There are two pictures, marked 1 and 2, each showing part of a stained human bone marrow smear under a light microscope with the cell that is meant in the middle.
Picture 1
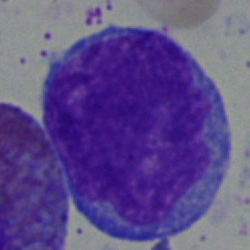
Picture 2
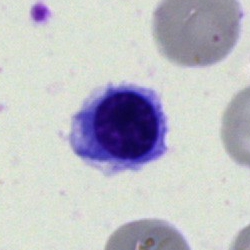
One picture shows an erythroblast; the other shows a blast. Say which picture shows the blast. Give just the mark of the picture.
1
